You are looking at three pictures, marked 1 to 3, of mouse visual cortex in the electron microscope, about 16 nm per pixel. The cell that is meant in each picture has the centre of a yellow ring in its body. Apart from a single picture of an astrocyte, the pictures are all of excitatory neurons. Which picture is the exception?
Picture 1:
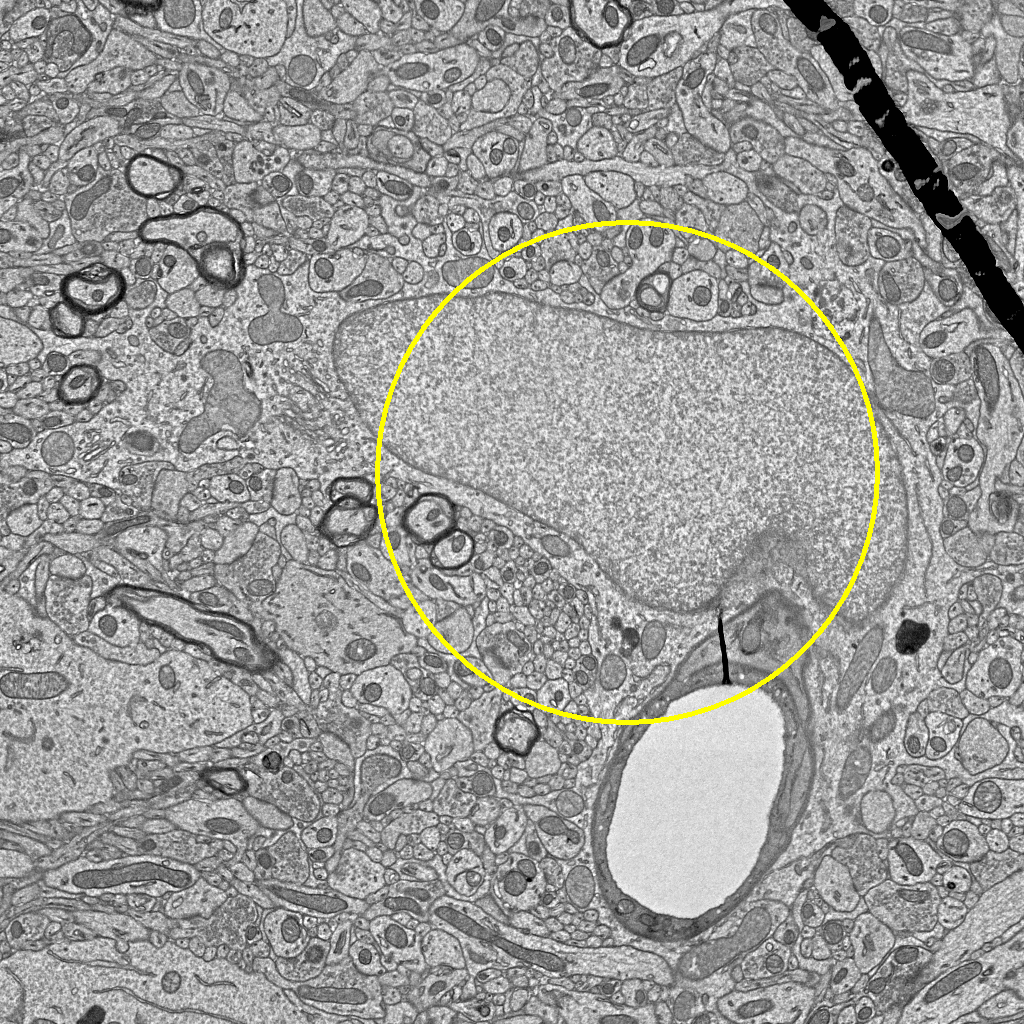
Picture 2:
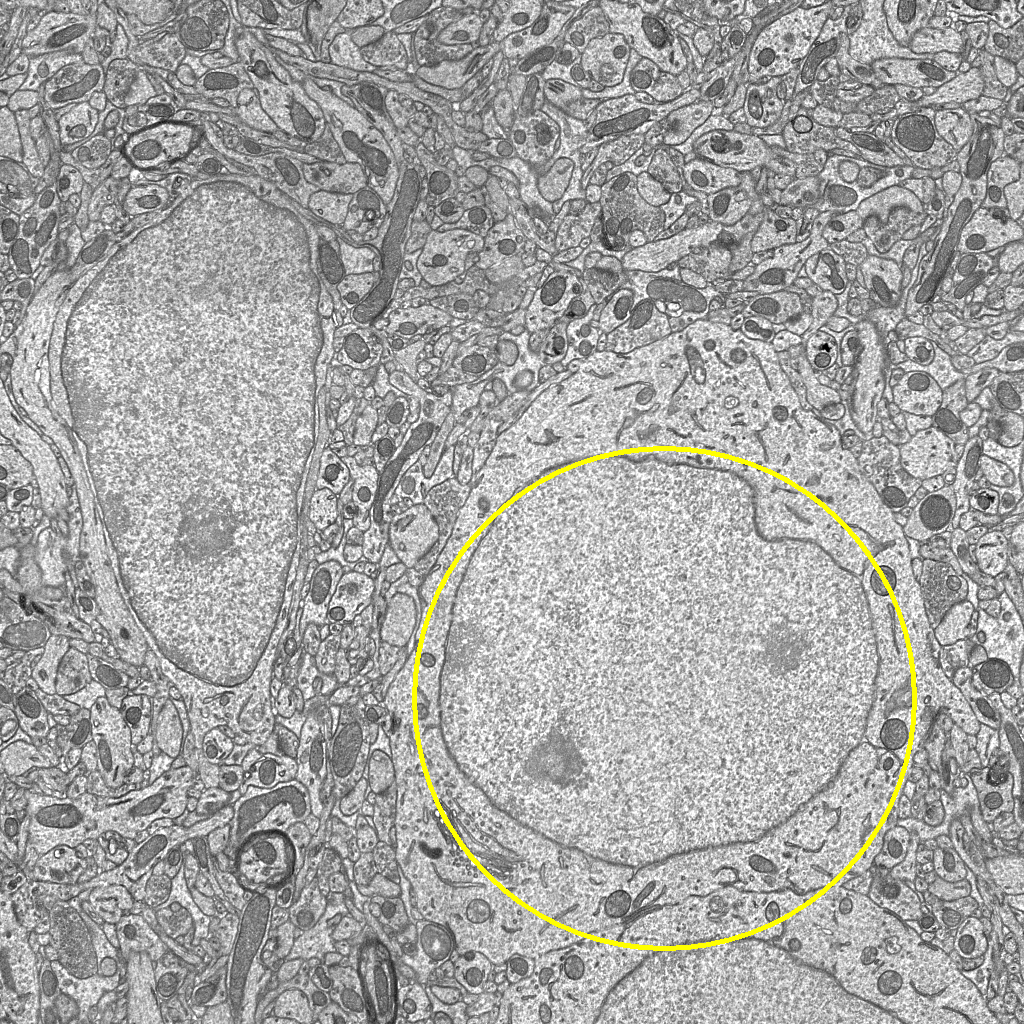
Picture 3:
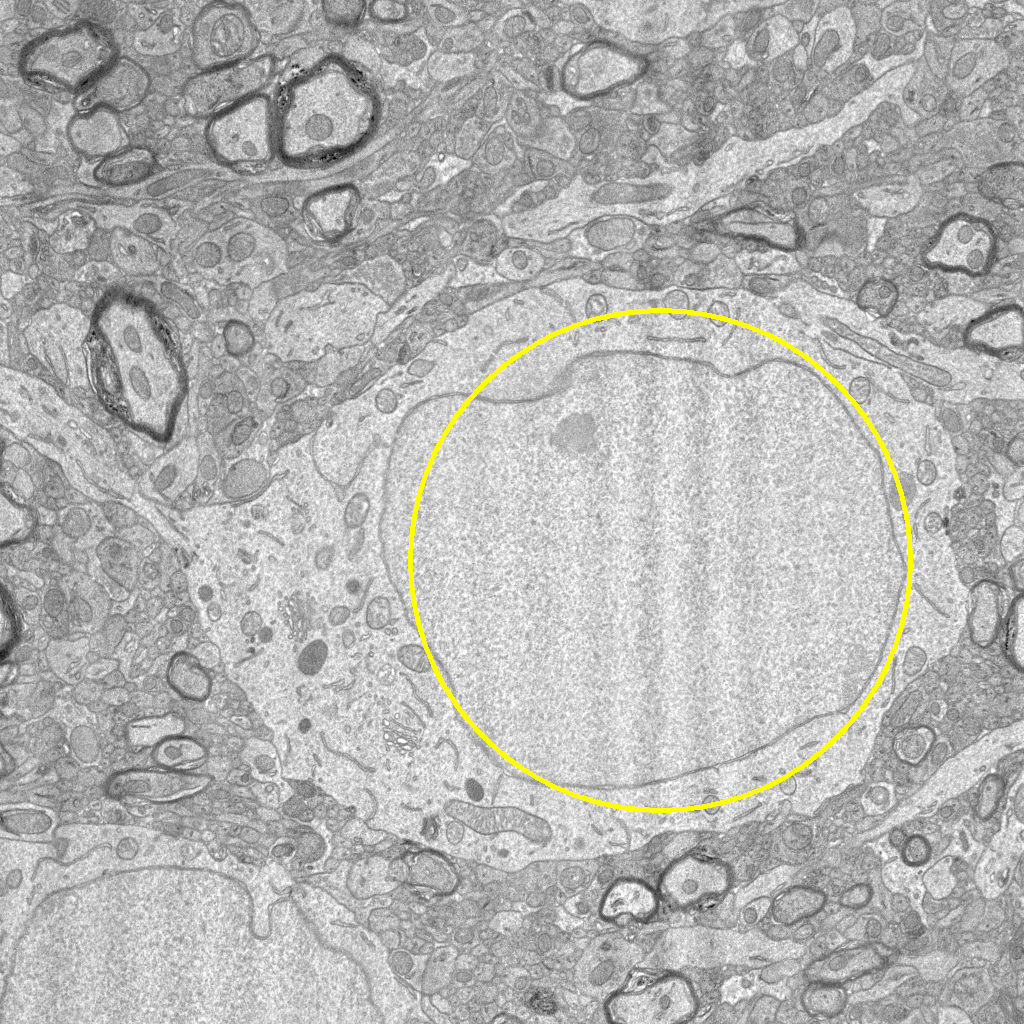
The astrocyte is the one in picture 1.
